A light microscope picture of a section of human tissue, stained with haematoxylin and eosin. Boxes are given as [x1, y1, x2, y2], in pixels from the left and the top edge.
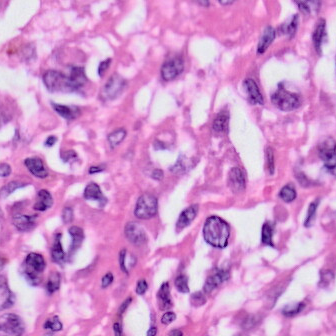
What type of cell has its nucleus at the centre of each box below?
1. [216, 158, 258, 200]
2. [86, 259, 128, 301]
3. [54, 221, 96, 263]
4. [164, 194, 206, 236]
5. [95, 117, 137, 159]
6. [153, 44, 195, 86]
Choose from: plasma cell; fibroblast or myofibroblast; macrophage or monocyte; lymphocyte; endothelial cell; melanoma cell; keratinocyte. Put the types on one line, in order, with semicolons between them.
melanoma cell; lymphocyte; melanoma cell; melanoma cell; macrophage or monocyte; melanoma cell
